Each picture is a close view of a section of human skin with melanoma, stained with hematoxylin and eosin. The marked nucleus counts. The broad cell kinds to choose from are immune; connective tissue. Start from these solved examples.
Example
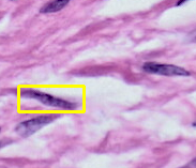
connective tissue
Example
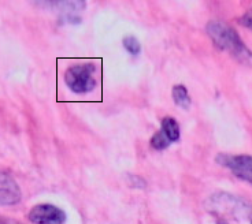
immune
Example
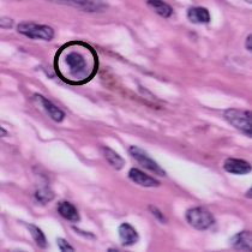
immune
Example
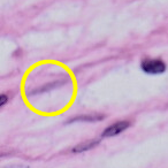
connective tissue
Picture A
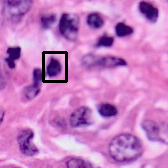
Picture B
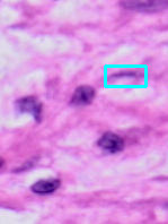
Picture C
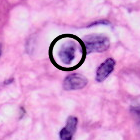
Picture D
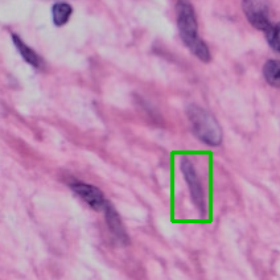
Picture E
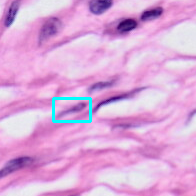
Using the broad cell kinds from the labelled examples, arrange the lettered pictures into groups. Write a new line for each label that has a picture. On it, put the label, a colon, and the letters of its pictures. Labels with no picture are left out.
immune: A, C
connective tissue: B, D, E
